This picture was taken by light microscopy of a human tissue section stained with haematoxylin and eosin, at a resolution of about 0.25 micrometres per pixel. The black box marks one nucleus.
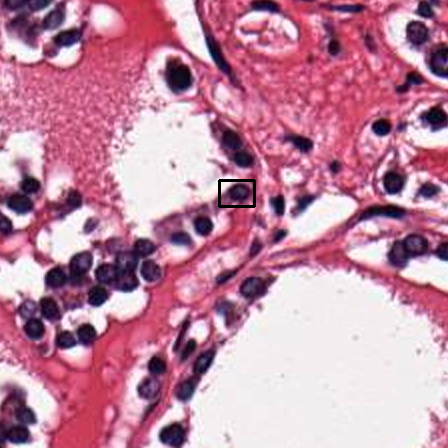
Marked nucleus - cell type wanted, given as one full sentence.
The marked nucleus, in this picture, belongs to a thyroid follicular cell.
